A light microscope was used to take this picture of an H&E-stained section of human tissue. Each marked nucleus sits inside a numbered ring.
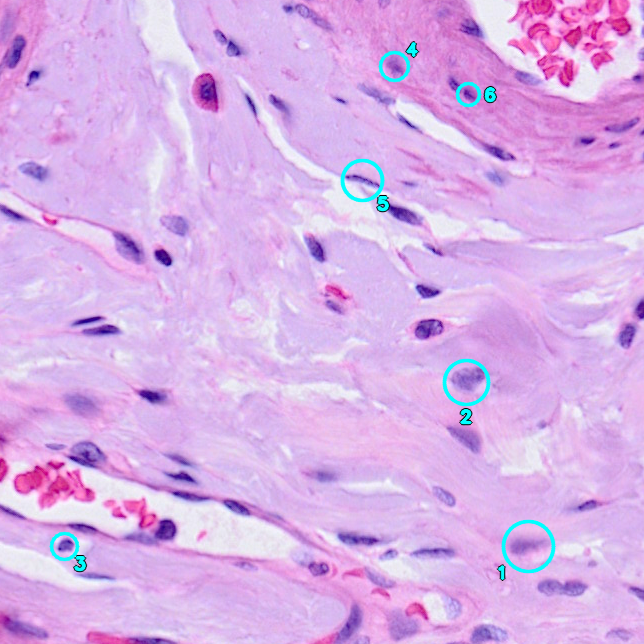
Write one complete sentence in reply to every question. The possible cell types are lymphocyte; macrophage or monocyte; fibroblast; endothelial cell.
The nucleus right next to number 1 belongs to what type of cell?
Closest to number 1 lies the nucleus of a macrophage or monocyte.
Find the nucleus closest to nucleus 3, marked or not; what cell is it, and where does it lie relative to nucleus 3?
It is an endothelial cell, whose nucleus lies above and to the right of nucleus 3.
